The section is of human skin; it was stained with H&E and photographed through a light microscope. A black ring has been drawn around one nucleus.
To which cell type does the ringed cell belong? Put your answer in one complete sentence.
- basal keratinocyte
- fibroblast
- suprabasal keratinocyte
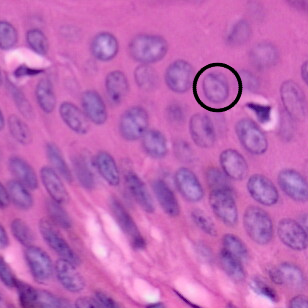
In this tissue section, the ringed cell is to be classed as a suprabasal keratinocyte.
